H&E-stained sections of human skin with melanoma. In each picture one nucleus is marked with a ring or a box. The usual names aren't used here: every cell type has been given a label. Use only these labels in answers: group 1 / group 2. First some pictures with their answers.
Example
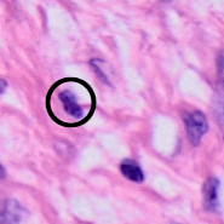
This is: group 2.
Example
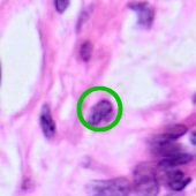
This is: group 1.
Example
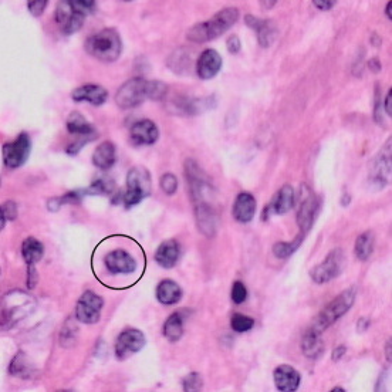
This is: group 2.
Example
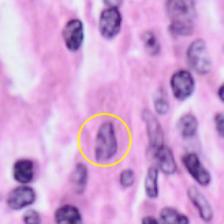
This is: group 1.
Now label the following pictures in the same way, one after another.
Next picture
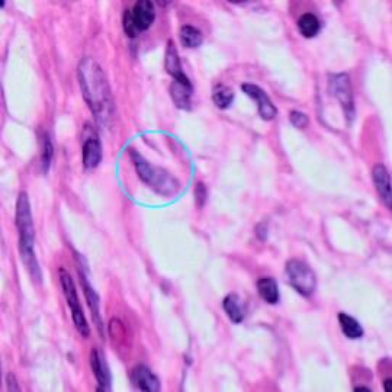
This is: group 1.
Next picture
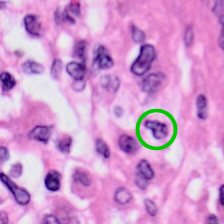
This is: group 2.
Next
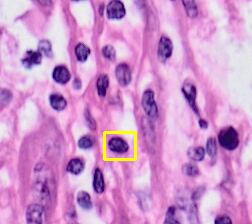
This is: group 2.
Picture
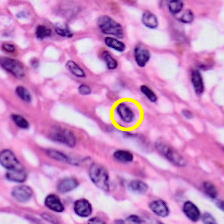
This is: group 2.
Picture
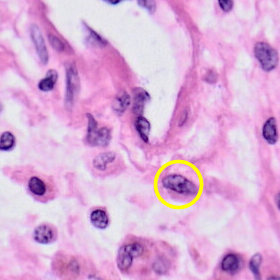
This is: group 1.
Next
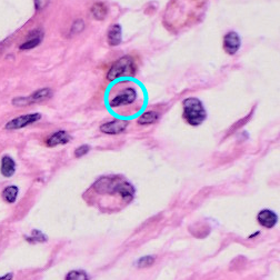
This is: group 2.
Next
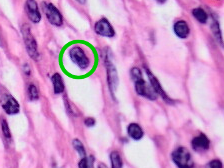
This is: group 2.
